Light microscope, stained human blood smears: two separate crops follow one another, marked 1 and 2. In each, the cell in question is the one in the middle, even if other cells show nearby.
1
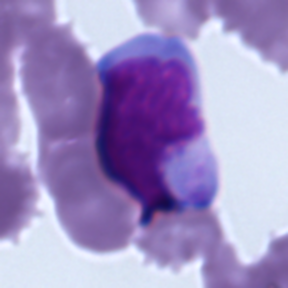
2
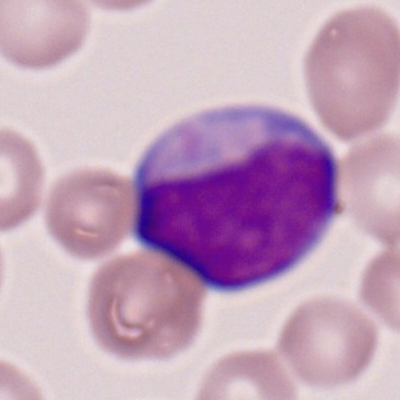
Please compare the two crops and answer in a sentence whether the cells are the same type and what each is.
Yes, the two cells in the two crops are blasts.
